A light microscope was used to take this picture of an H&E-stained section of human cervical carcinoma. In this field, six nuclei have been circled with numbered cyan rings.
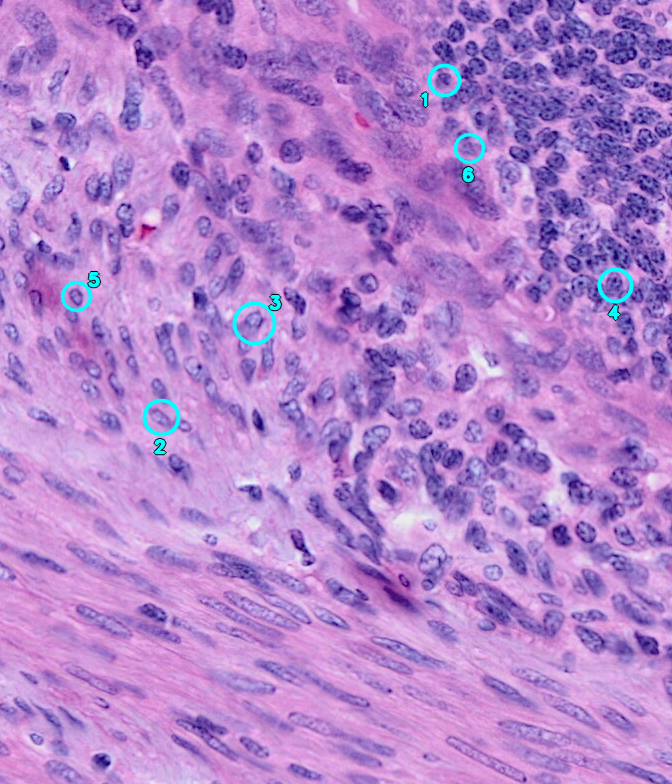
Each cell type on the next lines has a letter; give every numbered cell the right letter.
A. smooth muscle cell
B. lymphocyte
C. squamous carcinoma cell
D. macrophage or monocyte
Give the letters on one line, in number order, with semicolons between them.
C; A; A; C; A; C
